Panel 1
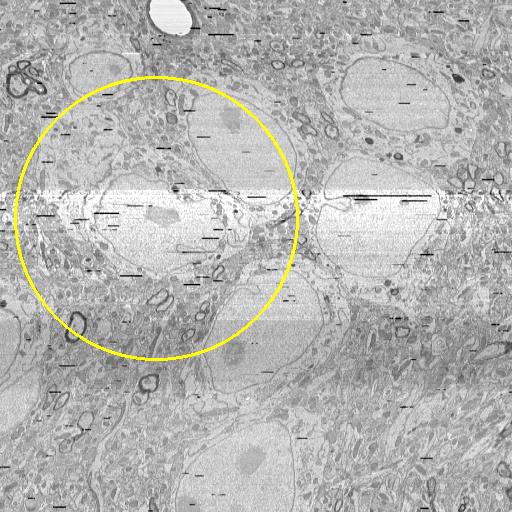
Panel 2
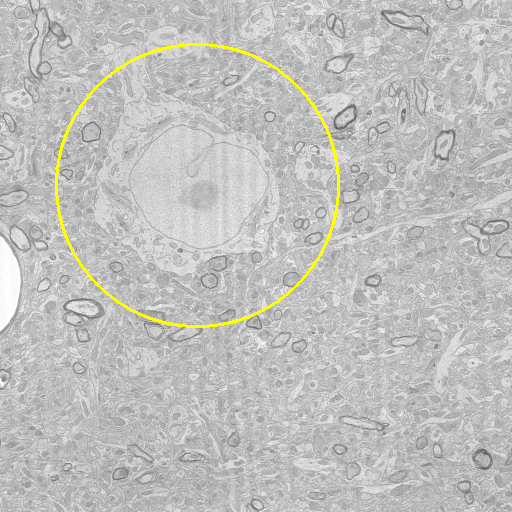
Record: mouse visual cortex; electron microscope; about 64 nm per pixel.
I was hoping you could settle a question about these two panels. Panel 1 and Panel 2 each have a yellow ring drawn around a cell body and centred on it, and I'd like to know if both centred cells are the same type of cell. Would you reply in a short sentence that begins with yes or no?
No, they are two types of cell.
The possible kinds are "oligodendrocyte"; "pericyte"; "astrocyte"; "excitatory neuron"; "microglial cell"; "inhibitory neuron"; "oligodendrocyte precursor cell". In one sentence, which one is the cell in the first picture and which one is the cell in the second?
The cell ringed in the second picture is an excitatory neuron, whereas the one ringed in the first is an inhibitory neuron.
